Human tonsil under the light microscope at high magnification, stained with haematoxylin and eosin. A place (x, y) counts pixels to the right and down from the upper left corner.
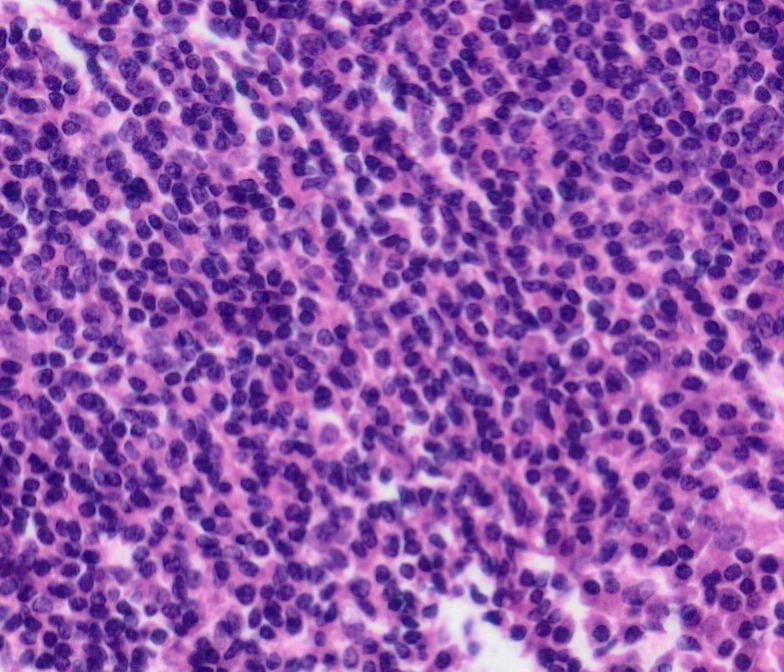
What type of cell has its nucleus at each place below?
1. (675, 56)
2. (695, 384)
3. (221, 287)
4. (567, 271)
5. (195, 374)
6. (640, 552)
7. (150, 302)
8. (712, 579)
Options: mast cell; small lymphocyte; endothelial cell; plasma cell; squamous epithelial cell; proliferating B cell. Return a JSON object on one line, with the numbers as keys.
{"1": "small lymphocyte", "2": "plasma cell", "3": "small lymphocyte", "4": "small lymphocyte", "5": "small lymphocyte", "6": "plasma cell", "7": "small lymphocyte", "8": "plasma cell"}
